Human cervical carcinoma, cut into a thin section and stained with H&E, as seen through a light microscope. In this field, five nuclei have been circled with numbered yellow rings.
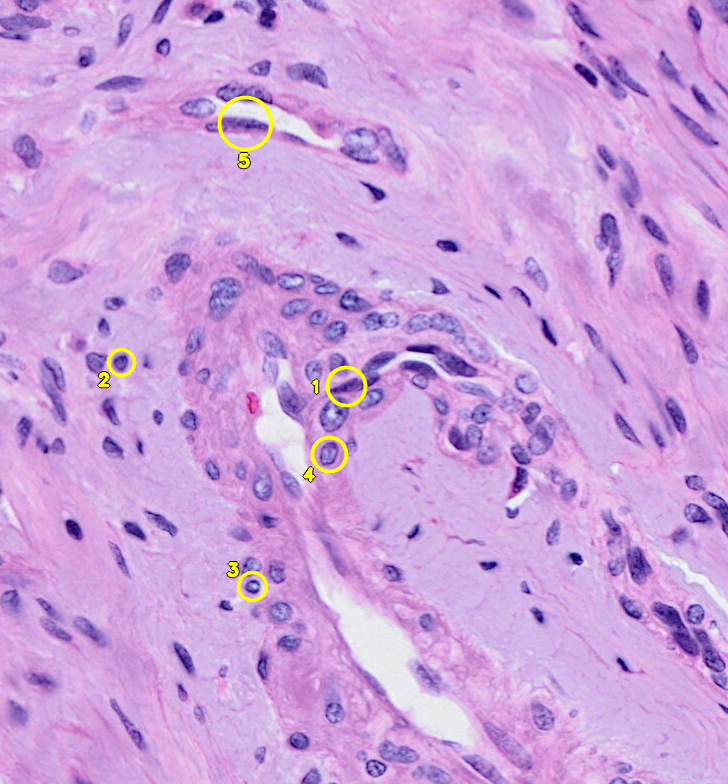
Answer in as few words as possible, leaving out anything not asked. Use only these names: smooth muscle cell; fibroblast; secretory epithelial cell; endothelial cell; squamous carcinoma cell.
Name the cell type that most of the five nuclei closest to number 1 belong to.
smooth muscle cell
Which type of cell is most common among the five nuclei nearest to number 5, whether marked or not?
endothelial cell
